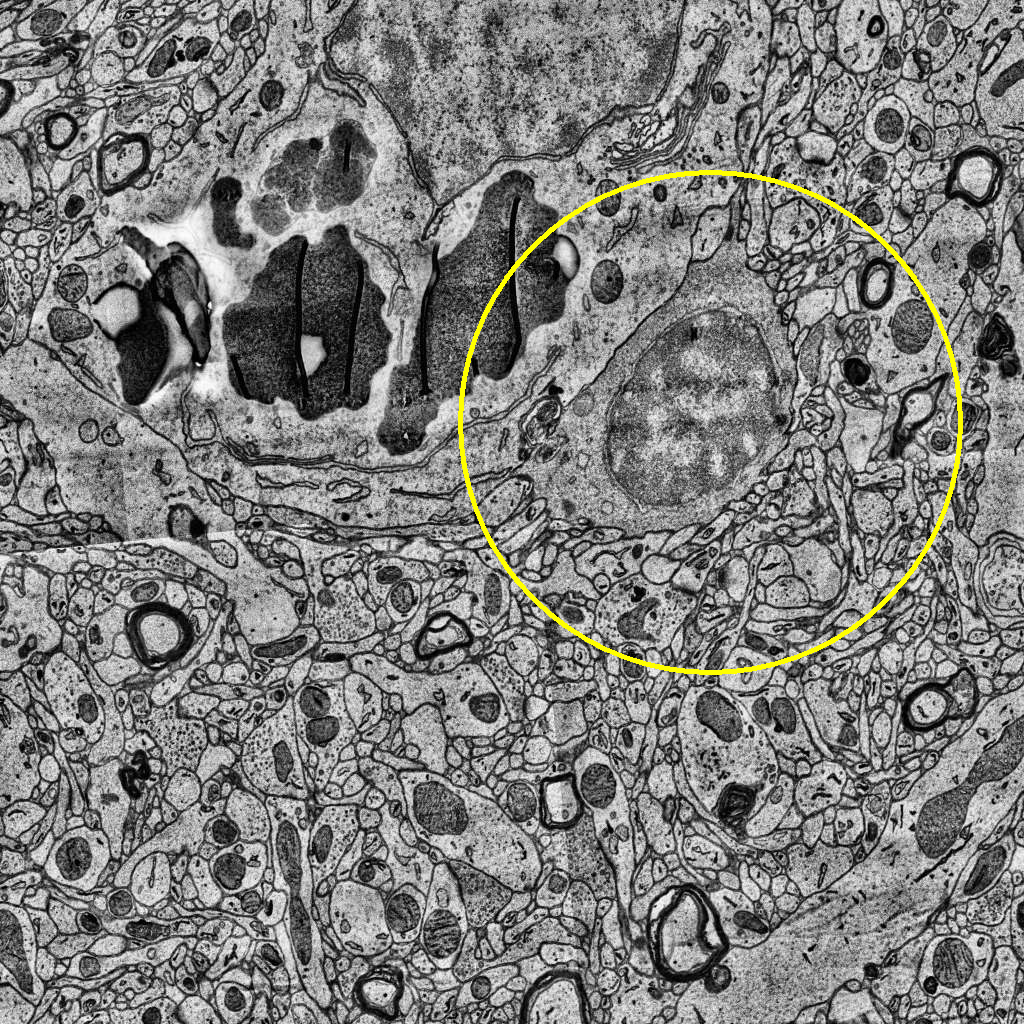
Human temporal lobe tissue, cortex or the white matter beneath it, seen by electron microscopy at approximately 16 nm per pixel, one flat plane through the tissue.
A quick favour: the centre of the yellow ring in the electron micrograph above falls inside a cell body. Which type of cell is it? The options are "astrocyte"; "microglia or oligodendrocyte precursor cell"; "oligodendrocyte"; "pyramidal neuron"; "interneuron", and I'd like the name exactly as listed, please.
oligodendrocyte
